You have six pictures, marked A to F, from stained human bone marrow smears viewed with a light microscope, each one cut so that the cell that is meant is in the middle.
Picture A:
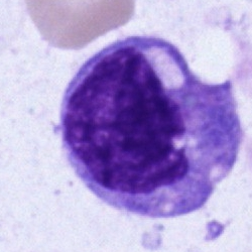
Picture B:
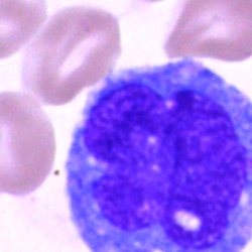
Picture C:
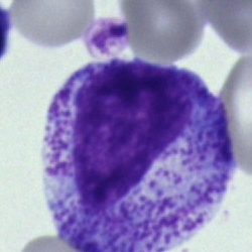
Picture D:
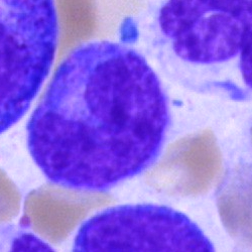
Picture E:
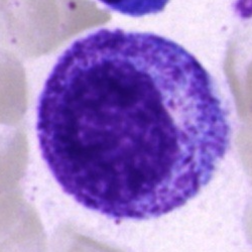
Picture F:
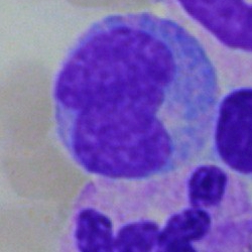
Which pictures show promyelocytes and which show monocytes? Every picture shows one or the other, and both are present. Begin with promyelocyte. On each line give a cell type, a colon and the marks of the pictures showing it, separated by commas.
promyelocyte: C, E
monocyte: A, B, D, F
